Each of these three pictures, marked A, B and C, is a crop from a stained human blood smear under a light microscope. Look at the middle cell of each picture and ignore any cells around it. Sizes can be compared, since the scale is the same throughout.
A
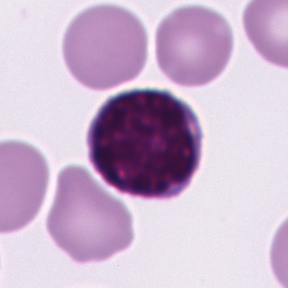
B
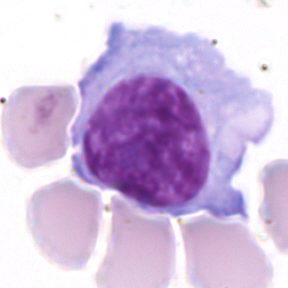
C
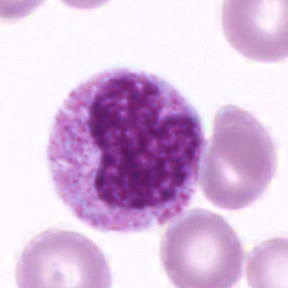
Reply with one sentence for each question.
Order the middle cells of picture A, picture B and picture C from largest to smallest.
Going down, they run B, C, A.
